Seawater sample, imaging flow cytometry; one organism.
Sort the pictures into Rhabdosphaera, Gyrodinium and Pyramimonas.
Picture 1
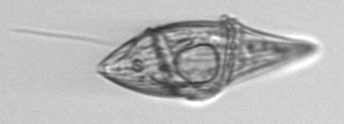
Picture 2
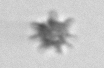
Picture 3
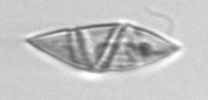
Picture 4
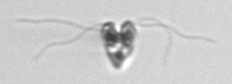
Gyrodinium: 1, 3
Rhabdosphaera: 2
Pyramimonas: 4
